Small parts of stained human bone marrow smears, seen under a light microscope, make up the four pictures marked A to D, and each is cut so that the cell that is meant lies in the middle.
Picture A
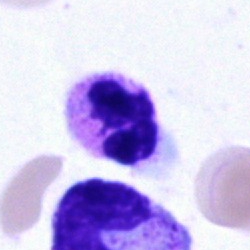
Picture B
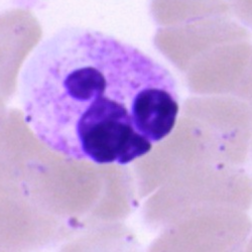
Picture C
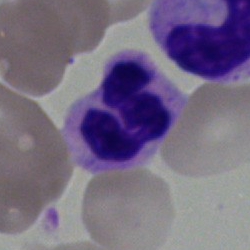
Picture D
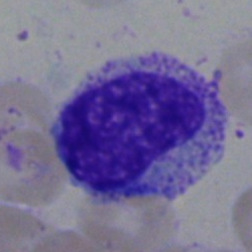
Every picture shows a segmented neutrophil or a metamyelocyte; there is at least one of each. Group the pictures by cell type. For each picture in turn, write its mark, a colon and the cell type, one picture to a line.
A: segmented neutrophil
B: segmented neutrophil
C: segmented neutrophil
D: metamyelocyte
